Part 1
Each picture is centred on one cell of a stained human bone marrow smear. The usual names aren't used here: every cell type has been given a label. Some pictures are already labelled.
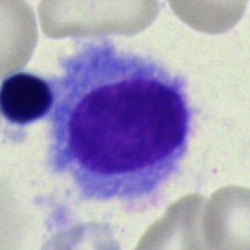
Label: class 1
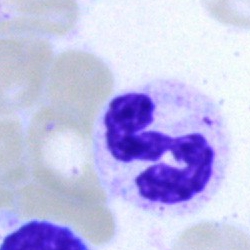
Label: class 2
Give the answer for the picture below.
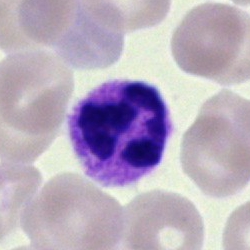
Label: class 2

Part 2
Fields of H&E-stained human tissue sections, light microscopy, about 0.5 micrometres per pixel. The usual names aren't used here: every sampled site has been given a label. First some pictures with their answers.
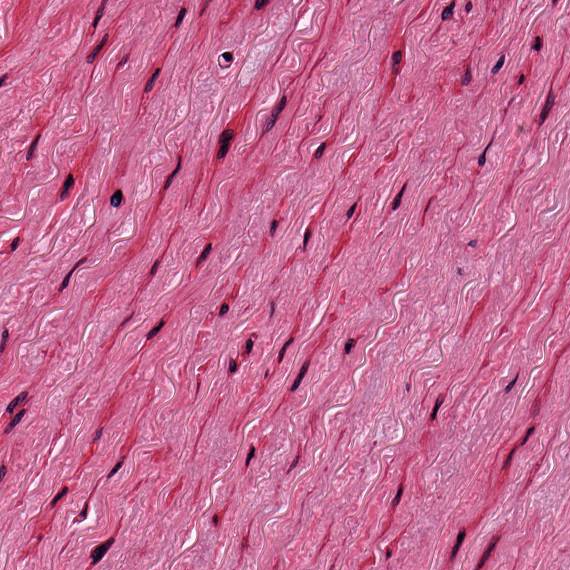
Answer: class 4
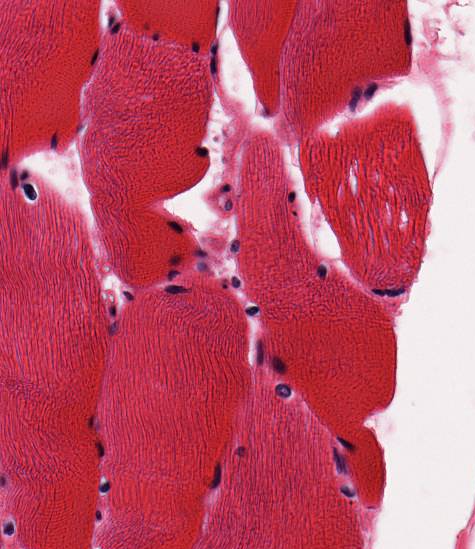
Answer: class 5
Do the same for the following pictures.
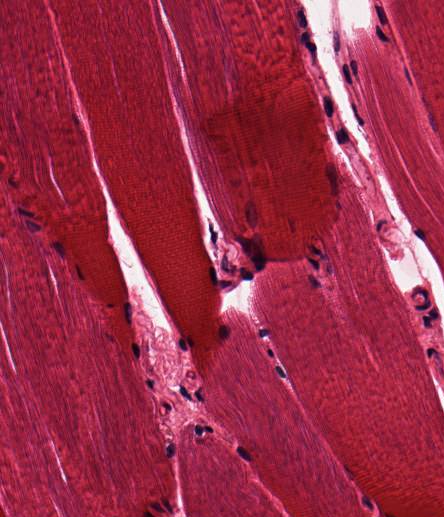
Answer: class 5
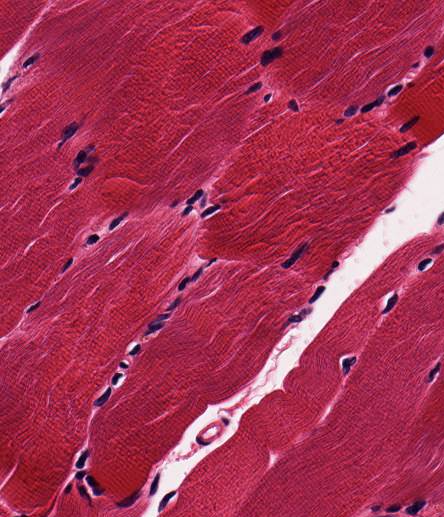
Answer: class 5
